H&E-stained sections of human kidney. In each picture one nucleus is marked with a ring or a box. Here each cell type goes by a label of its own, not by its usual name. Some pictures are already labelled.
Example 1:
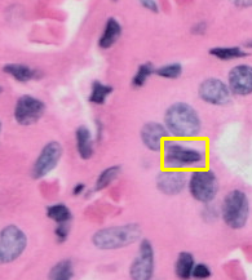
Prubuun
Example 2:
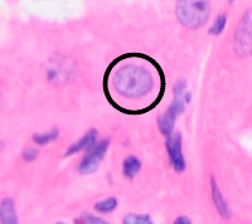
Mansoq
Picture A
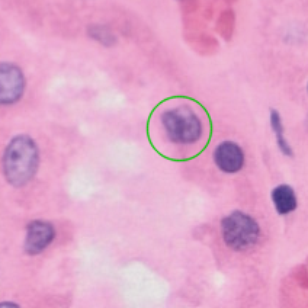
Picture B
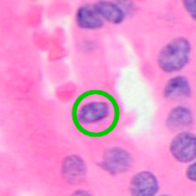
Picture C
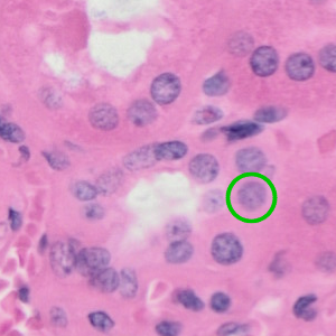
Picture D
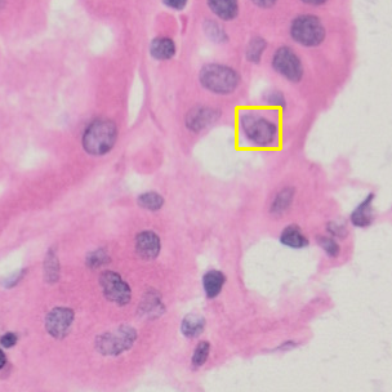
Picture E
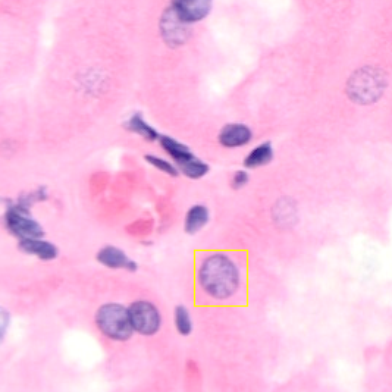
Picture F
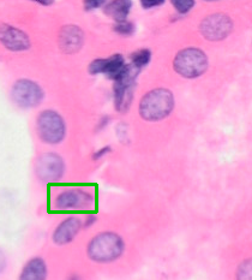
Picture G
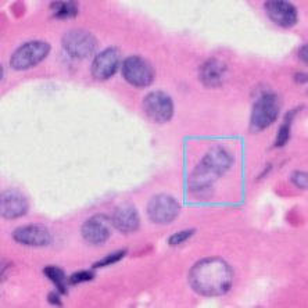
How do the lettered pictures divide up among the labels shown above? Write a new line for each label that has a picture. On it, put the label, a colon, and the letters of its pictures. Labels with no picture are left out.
Prubuun: B, C, D, F, G
Mansoq: A, E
